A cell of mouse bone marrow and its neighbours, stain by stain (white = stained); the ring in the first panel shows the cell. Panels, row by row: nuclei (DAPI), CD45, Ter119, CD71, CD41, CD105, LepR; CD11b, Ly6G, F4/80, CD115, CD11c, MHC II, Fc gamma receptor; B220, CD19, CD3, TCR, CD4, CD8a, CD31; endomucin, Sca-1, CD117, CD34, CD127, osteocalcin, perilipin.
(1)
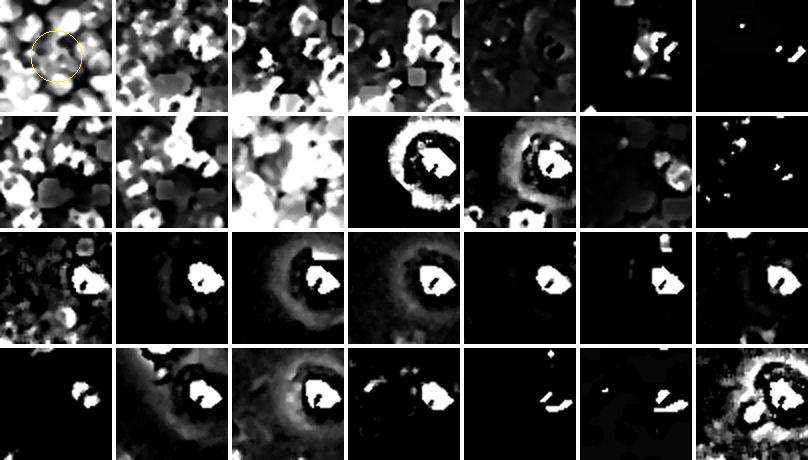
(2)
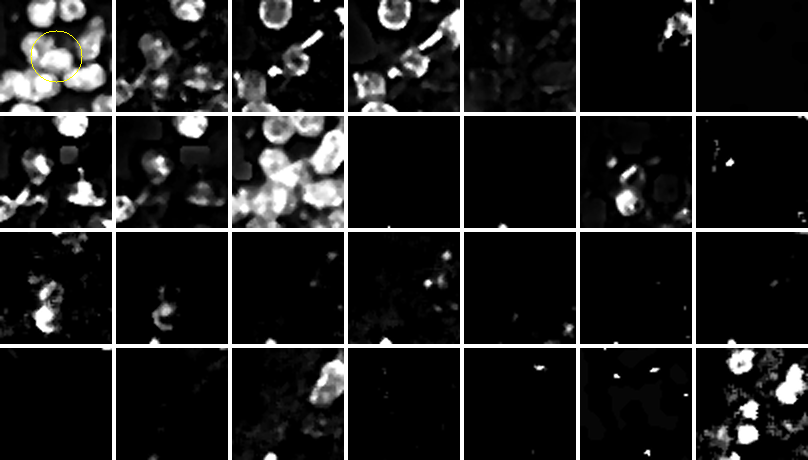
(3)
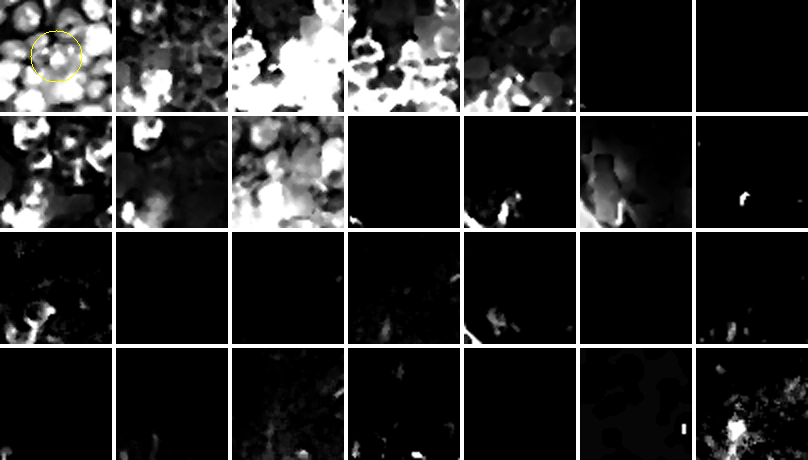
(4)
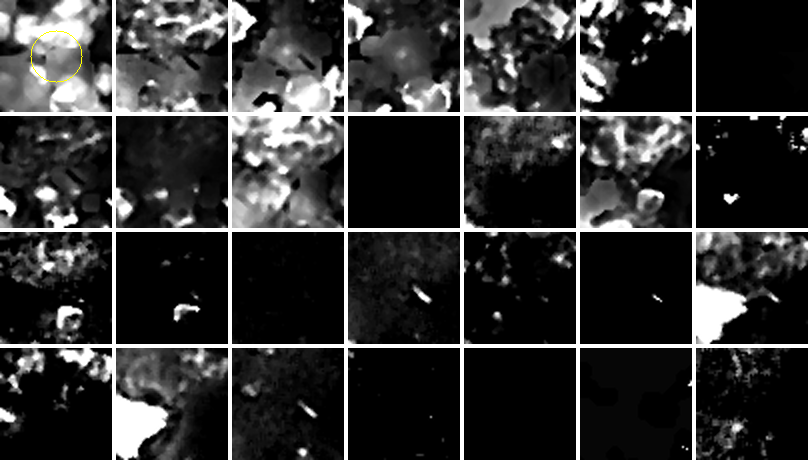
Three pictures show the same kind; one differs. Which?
Picture 1: an erythroid progenitor (CFU-E), while the others are erythroblasts.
